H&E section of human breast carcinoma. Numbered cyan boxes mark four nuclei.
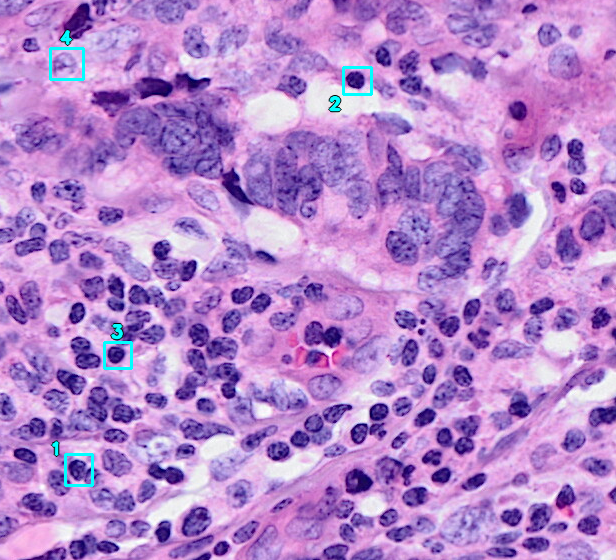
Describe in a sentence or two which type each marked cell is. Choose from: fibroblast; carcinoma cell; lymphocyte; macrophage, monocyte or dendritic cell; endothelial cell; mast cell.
Cells 1, 2 and 3 are lymphocytes. Cell 4 is a macrophage, monocyte or dendritic cell.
